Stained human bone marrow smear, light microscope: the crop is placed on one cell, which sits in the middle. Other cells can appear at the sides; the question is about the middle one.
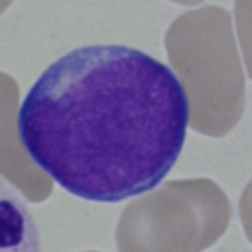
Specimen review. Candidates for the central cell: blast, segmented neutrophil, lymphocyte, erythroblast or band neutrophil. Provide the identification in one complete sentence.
The cell at the middle of the frame should be recorded as a blast.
